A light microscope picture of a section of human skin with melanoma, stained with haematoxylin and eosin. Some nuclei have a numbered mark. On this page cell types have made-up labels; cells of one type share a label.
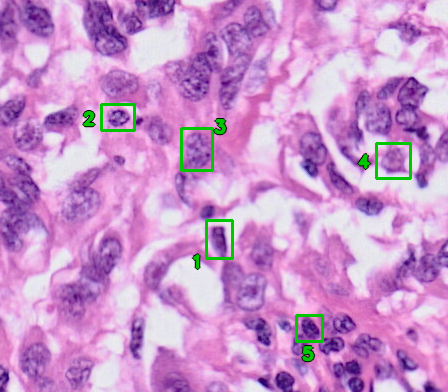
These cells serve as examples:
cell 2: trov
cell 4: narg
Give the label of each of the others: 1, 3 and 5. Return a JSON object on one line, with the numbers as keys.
{"1": "narg", "3": "narg", "5": "trov"}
